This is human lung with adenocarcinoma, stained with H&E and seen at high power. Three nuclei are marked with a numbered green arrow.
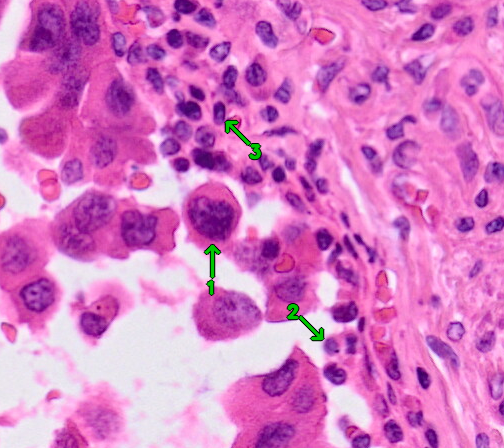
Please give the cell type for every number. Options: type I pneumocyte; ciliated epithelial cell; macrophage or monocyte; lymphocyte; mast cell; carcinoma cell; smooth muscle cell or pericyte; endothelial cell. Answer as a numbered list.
1. carcinoma cell
2. lymphocyte
3. lymphocyte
